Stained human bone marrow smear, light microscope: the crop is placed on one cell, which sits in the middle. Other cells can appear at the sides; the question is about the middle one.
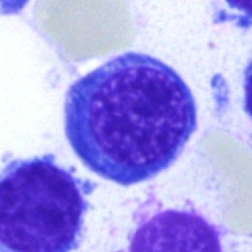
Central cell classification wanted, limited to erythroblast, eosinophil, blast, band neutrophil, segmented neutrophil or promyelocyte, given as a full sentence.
The cell positioned in the middle of the field is an erythroblast.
